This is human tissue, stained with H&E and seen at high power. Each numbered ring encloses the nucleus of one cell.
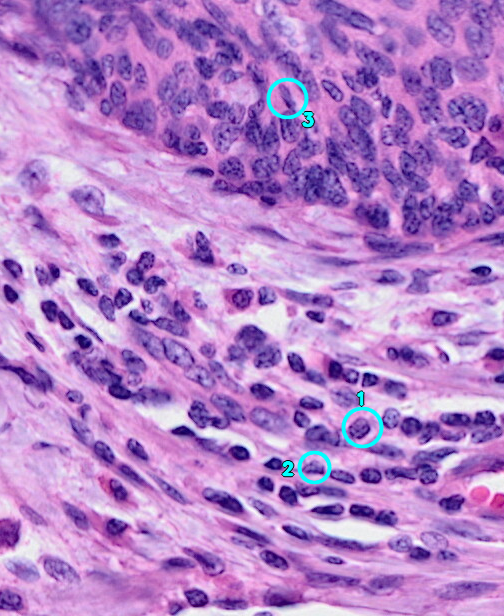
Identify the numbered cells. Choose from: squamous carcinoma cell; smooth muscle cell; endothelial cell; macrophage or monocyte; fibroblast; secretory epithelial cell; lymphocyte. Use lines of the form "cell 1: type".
cell 1: lymphocyte
cell 2: lymphocyte
cell 3: squamous carcinoma cell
